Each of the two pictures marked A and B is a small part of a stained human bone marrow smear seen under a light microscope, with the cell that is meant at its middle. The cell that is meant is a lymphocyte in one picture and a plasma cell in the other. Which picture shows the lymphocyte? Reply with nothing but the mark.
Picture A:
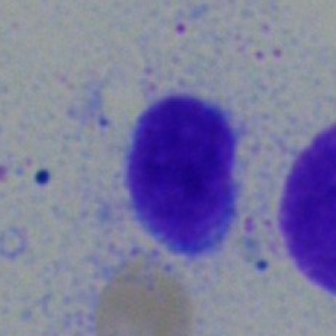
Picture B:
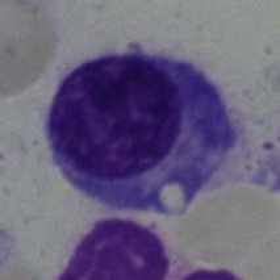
A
